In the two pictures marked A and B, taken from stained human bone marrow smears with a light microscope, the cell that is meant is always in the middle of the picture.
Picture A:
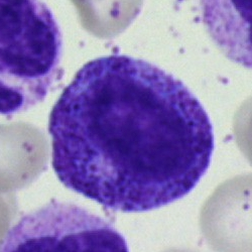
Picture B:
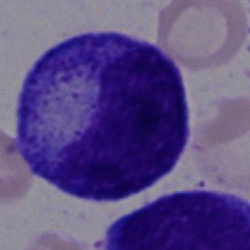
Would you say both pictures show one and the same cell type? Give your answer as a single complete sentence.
Yes, both are promyelocytes.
